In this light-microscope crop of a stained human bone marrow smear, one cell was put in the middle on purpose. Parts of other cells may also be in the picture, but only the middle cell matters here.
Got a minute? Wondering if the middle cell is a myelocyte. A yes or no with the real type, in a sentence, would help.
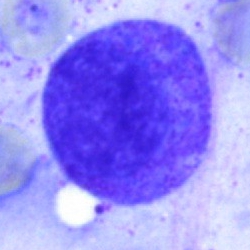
No, this one is a promyelocyte; it is not a myelocyte.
